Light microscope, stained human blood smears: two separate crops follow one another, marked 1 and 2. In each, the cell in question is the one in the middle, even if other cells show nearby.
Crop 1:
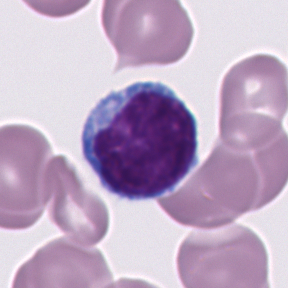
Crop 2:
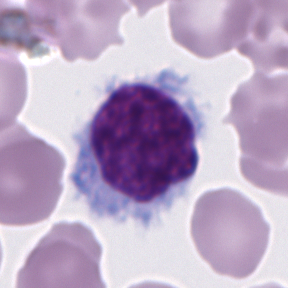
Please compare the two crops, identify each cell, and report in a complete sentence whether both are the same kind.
No, it is crop 1 that shows a typical lymphocyte, and crop 2 that shows a hairy cell.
